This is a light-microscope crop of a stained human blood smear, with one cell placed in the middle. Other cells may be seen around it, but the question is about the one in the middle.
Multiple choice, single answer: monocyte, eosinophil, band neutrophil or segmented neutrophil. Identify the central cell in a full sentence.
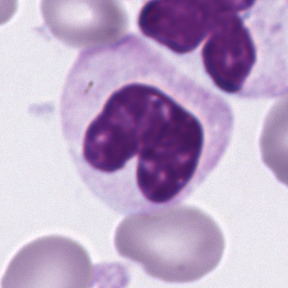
Whatever else lies nearby, the middle cell is a band neutrophil.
